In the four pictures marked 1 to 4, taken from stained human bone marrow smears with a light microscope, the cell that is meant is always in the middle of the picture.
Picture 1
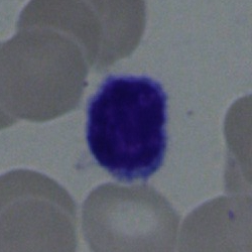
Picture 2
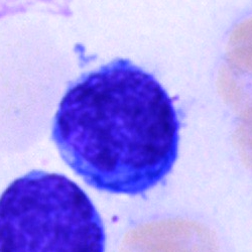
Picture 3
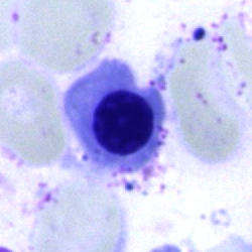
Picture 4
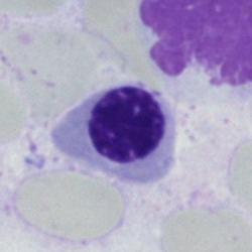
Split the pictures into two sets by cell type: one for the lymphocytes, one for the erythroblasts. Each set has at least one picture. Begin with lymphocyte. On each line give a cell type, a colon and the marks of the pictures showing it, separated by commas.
lymphocyte: 1, 2
erythroblast: 3, 4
